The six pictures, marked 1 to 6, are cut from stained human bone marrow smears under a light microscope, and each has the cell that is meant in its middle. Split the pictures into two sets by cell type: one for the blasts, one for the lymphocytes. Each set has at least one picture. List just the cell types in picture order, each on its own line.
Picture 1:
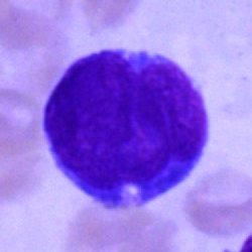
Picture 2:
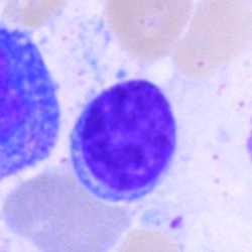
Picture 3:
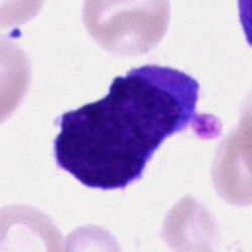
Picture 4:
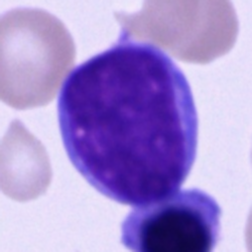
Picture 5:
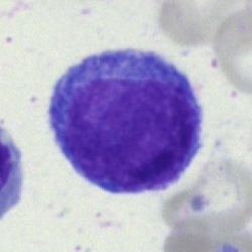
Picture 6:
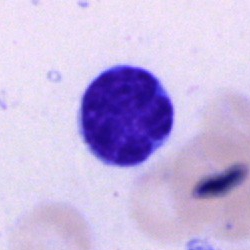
blast
lymphocyte
blast
blast
blast
lymphocyte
